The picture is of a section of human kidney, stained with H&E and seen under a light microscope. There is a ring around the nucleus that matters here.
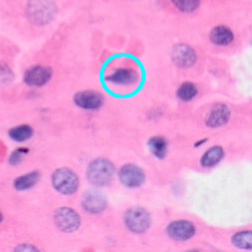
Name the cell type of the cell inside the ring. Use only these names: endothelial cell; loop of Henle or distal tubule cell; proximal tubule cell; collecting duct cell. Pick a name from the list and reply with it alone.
endothelial cell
